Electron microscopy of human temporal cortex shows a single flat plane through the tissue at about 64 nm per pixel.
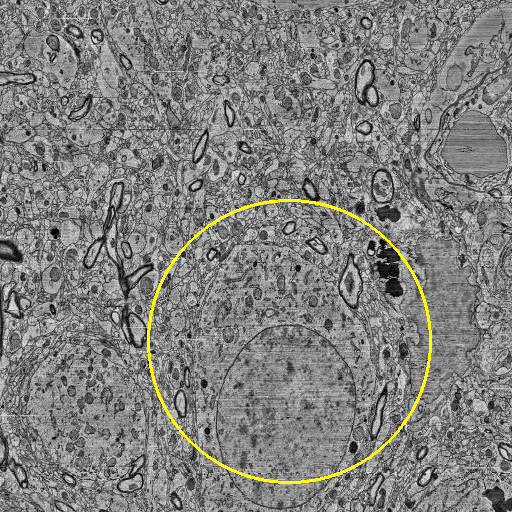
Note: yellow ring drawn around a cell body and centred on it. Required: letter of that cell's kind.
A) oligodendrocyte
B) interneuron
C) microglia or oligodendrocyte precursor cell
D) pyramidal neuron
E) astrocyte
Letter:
D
